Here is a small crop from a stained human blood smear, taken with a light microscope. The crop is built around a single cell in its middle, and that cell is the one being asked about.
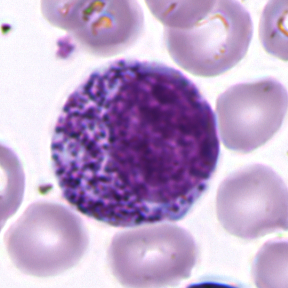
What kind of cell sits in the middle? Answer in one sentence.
In the middle of this smear crop is a myelocyte.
